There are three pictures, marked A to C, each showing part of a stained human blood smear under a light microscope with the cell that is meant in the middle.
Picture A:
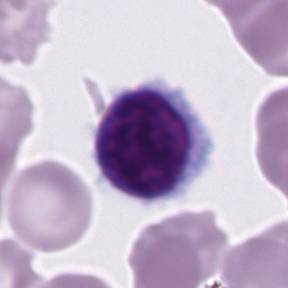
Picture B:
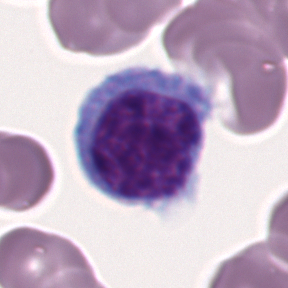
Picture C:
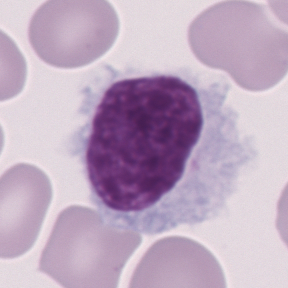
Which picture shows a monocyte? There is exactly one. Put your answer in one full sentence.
The picture with the monocyte is B.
